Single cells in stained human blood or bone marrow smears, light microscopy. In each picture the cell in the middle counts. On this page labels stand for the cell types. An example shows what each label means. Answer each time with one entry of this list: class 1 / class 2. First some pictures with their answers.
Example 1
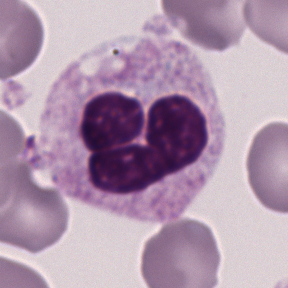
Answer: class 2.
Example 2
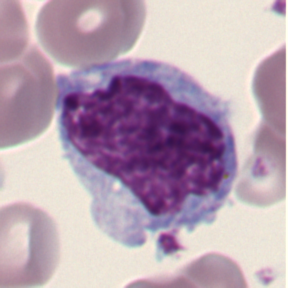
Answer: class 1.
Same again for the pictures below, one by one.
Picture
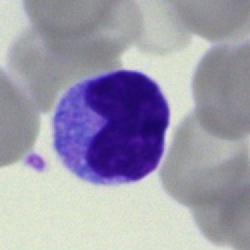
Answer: class 1.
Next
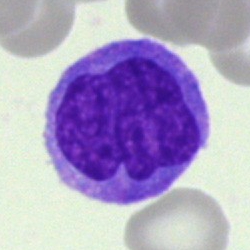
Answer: class 1.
